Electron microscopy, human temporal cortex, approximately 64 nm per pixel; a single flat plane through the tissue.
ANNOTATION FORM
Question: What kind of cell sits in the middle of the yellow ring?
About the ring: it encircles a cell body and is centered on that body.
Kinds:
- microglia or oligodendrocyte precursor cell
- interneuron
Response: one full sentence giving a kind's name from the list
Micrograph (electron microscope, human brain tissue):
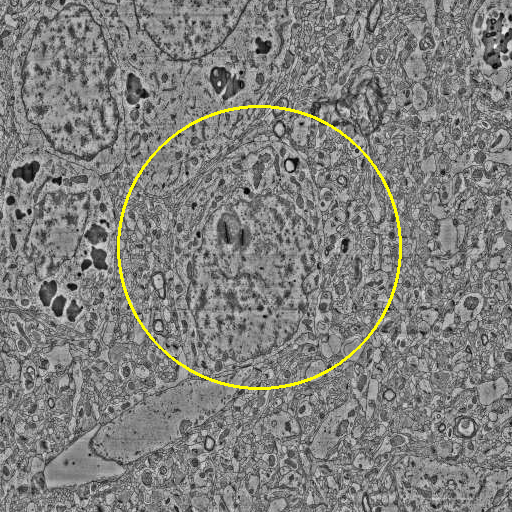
The kind of cell found at the center of the yellow ring in the micrograph is an interneuron.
